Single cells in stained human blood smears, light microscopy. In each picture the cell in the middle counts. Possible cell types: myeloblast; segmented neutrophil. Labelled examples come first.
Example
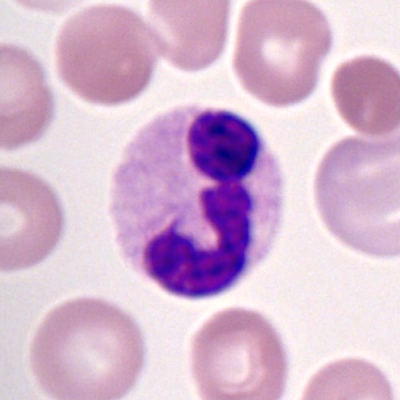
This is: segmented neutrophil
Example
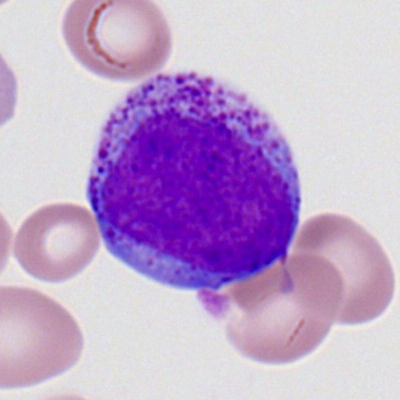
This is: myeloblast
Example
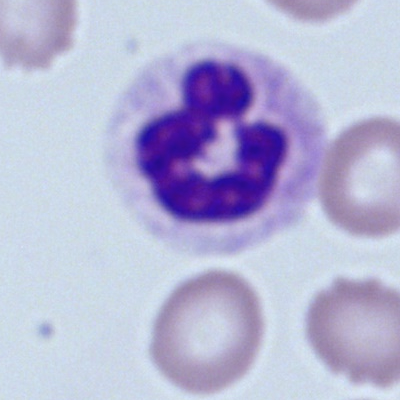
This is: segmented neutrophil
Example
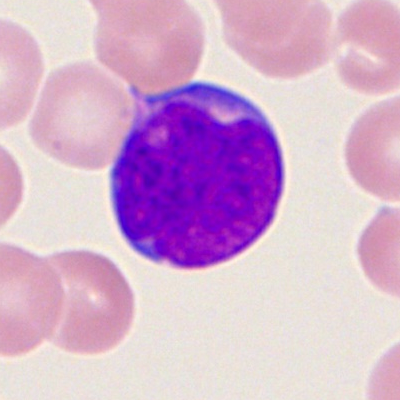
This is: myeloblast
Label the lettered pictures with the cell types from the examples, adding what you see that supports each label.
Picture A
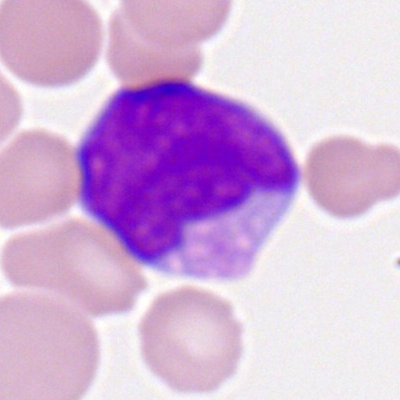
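myeloblast. Evidence: The nucleus fills most of the cell.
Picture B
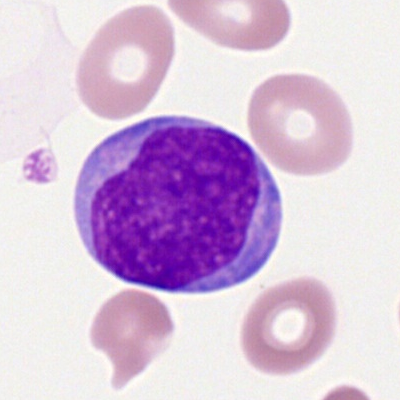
myeloblast. Evidence: The cytoplasm is blue.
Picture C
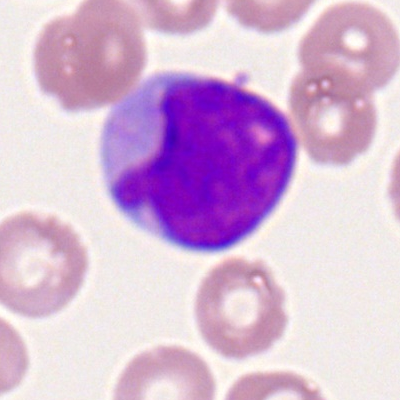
myeloblast. Evidence: The nucleus fills most of the cell and lies toward the right.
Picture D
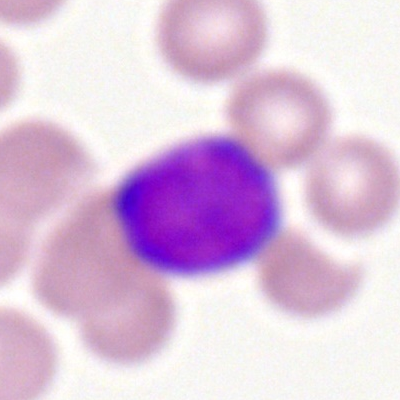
myeloblast. Evidence: The nucleus fills almost the whole cell.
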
